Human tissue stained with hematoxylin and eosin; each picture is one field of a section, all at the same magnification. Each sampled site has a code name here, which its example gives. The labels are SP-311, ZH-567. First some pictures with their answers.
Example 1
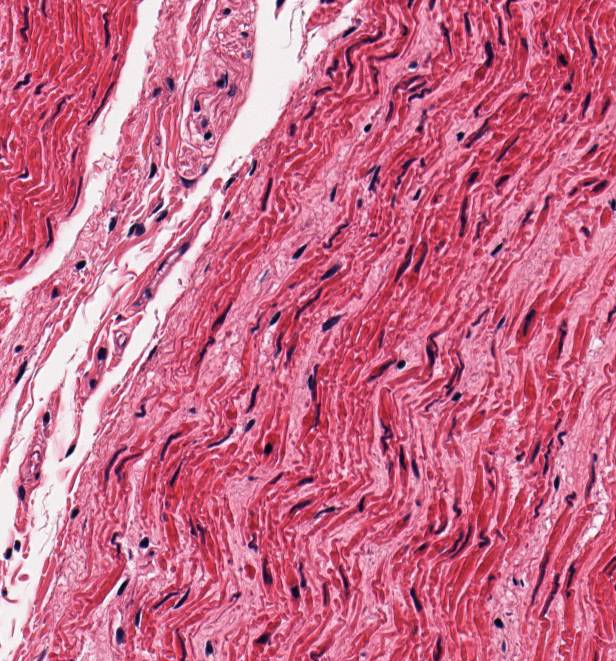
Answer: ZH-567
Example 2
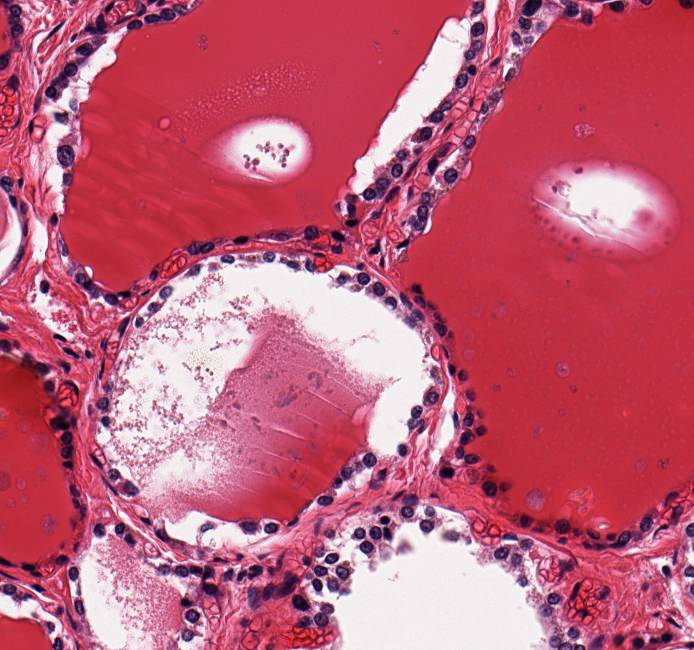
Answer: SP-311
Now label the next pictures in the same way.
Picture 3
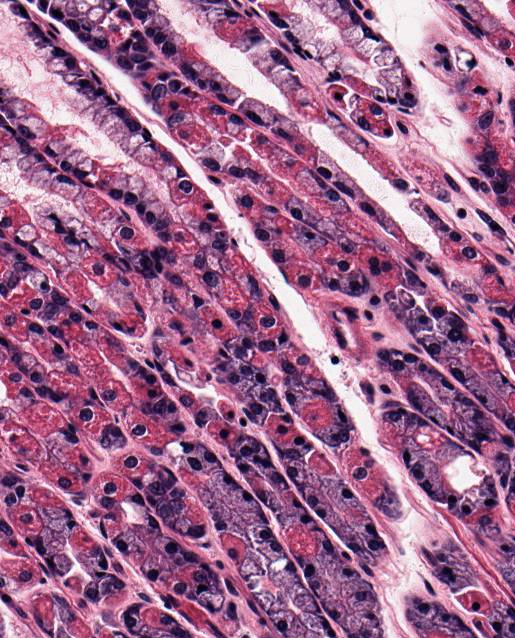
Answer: ZH-567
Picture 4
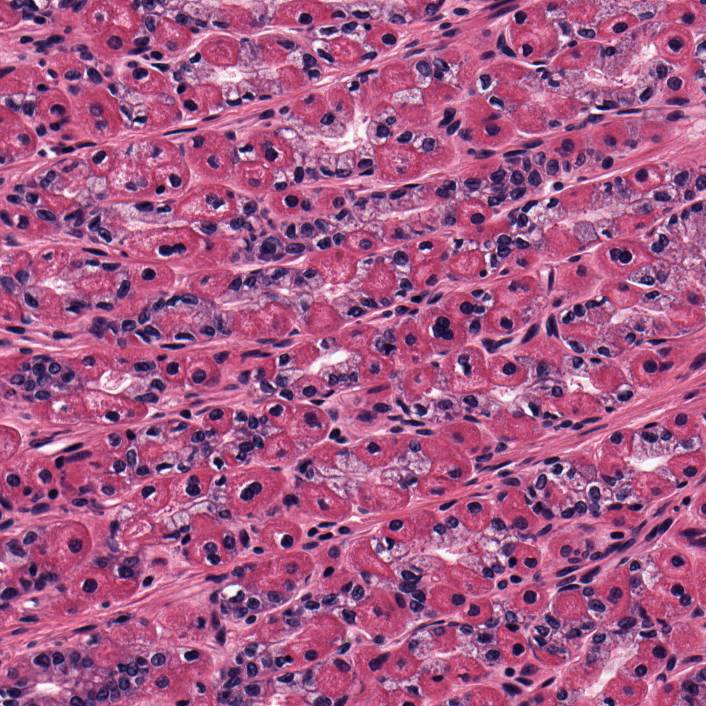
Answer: ZH-567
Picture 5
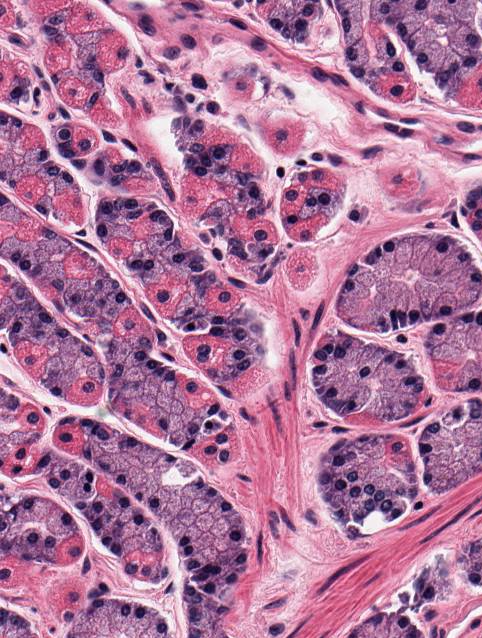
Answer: ZH-567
